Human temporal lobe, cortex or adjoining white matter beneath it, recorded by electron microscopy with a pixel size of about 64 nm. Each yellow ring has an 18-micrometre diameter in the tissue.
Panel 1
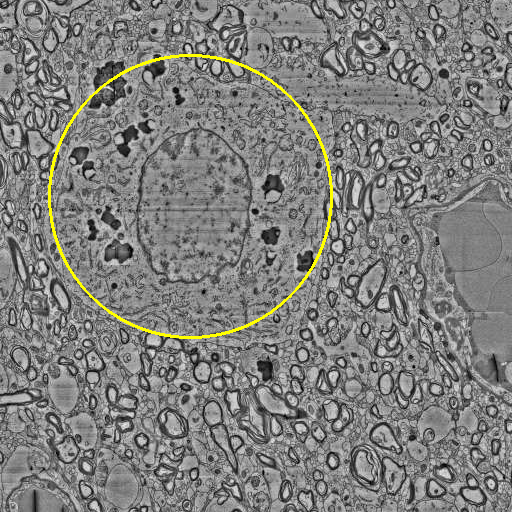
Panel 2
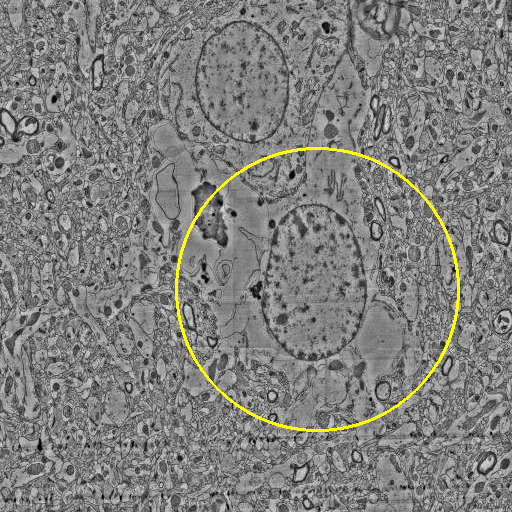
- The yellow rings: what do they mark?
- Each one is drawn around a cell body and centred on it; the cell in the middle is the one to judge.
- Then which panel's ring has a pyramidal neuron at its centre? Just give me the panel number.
1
